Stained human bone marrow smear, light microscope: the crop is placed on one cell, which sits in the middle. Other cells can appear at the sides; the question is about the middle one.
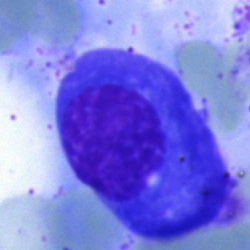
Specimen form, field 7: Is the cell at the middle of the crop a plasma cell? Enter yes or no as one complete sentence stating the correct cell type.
Yes, the central cell is to be recorded as a plasma cell.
